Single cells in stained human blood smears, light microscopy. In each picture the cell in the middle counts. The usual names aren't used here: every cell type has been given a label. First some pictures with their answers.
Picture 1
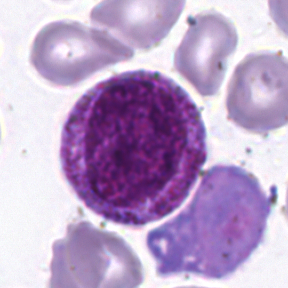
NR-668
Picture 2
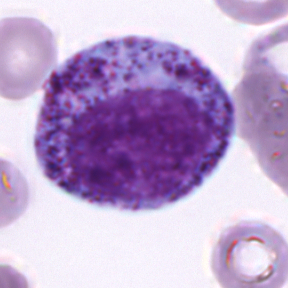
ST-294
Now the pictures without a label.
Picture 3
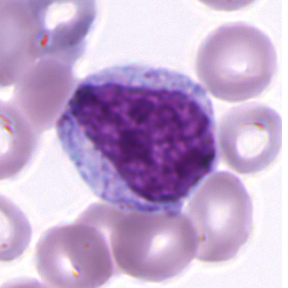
NR-668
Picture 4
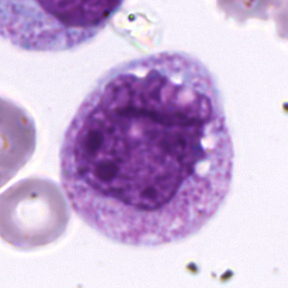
NR-668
